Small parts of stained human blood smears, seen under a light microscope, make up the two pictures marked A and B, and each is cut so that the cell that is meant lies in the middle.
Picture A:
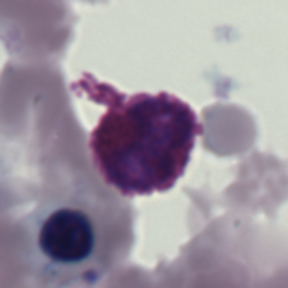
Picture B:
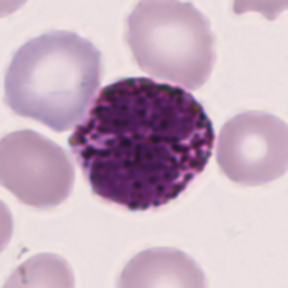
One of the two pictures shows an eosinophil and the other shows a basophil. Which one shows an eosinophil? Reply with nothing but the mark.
A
